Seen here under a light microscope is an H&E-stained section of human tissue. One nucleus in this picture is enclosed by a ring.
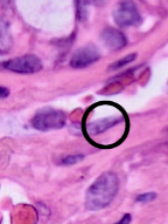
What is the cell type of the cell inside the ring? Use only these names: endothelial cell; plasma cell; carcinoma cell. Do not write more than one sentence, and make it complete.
In this section of tissue, the cell inside the ring is an endothelial cell.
